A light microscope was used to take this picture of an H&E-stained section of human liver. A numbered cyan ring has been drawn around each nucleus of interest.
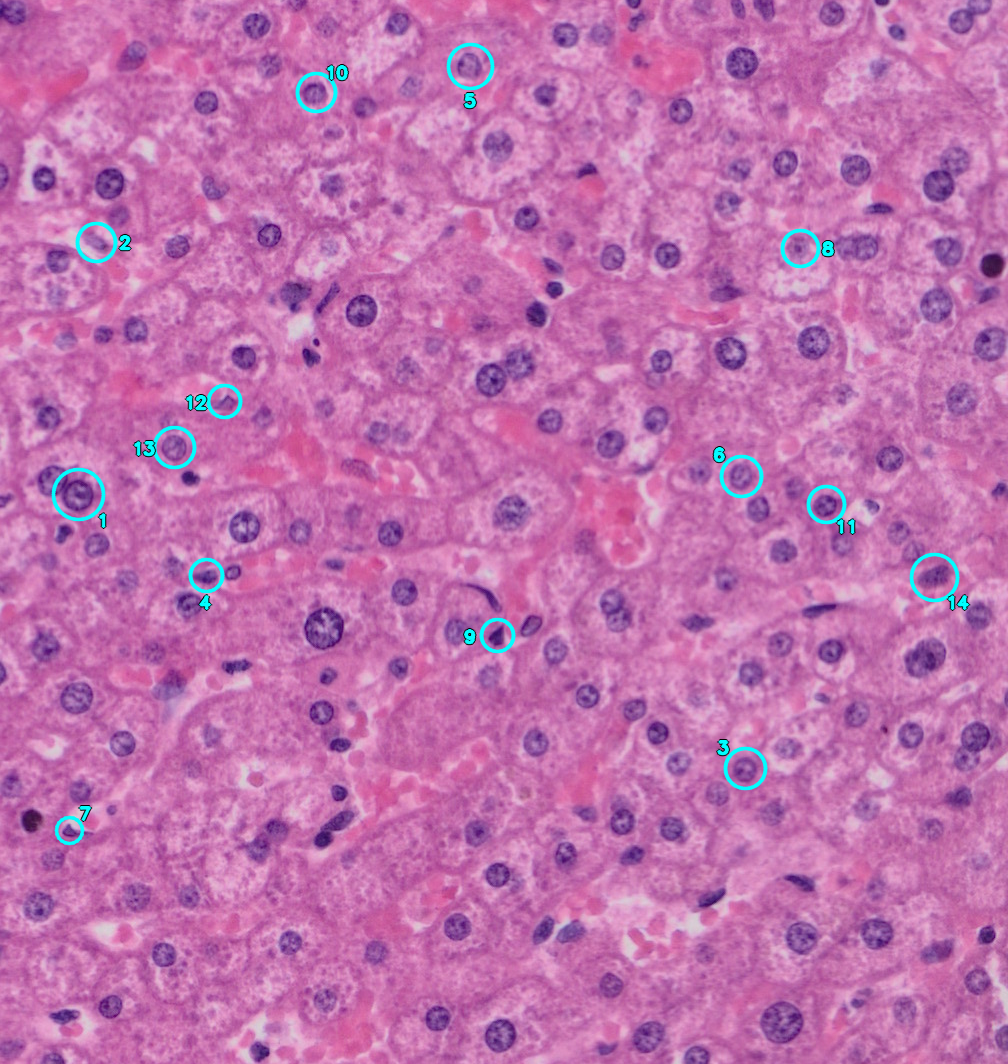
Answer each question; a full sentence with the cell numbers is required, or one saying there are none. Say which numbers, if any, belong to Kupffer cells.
The numbers 2 and 14 refer to cells that are Kupffer cells.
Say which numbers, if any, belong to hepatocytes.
The cells tagged 1, 3, 5, 6, 8, 10, 11 and 13 are hepatocytes in this tissue section.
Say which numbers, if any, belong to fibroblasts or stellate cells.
Cells 4 and 9 share one type; they are fibroblasts or stellate cells.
